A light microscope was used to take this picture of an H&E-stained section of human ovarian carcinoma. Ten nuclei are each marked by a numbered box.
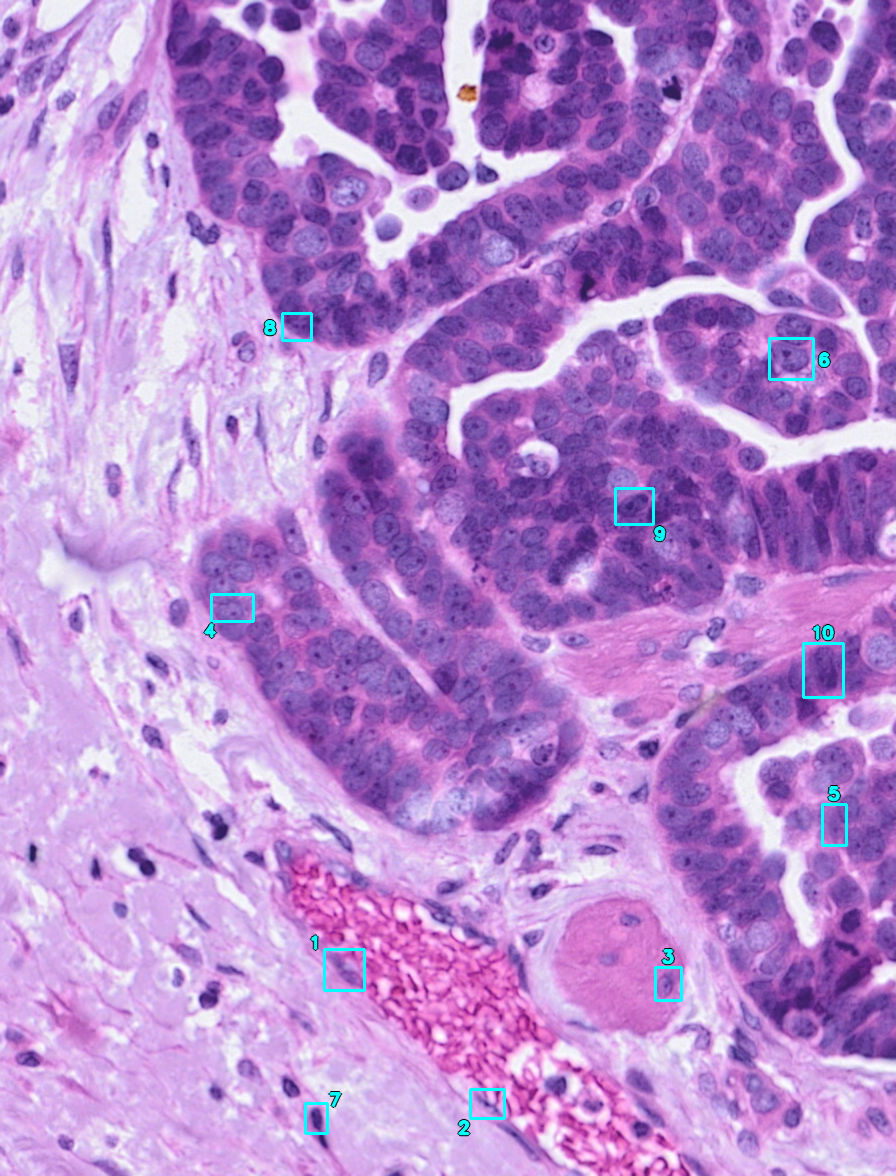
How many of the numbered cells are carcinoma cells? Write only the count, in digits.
6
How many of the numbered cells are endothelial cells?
2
